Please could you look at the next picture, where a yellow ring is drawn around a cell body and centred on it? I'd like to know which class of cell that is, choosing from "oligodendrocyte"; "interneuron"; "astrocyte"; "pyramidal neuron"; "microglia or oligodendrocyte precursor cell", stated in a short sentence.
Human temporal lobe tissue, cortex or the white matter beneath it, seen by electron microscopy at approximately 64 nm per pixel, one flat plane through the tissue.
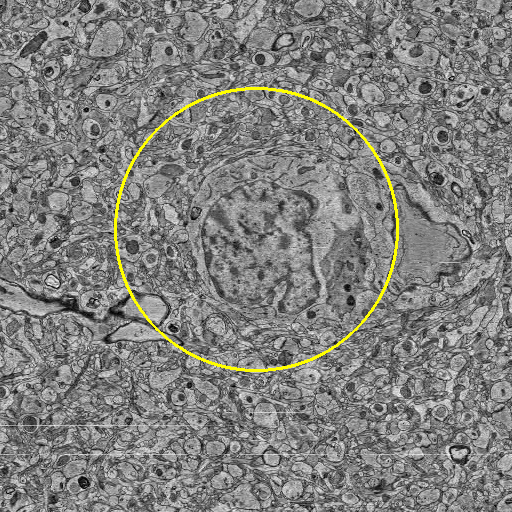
The ring's centre lies on a microglial cell or oligodendrocyte precursor cell.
